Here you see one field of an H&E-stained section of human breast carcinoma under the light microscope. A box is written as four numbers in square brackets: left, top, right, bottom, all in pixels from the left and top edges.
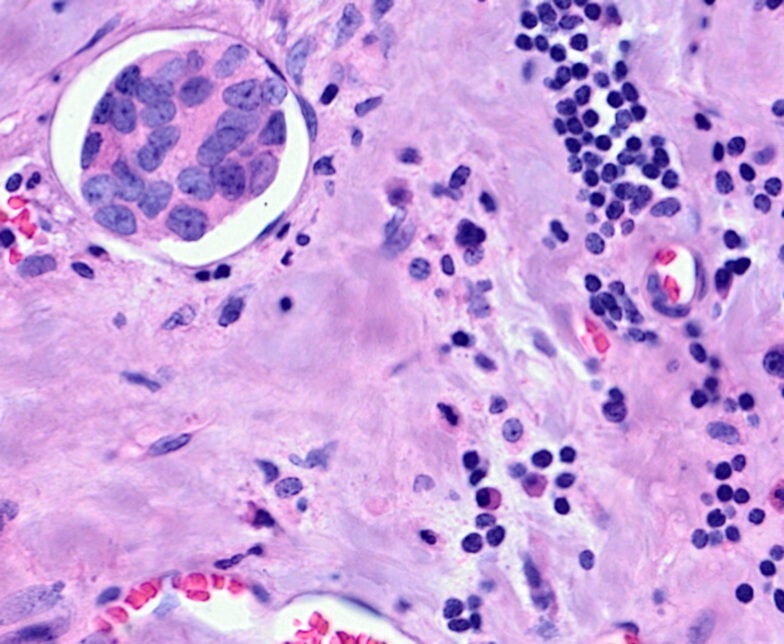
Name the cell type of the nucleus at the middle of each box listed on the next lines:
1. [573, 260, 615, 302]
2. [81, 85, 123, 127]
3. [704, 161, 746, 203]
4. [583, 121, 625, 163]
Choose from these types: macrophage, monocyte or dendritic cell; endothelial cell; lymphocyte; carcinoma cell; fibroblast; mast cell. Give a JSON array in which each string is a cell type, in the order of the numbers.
["lymphocyte", "carcinoma cell", "lymphocyte", "lymphocyte"]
